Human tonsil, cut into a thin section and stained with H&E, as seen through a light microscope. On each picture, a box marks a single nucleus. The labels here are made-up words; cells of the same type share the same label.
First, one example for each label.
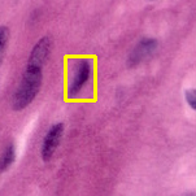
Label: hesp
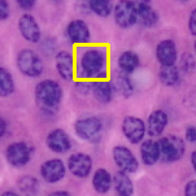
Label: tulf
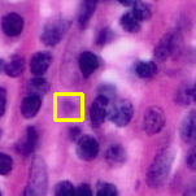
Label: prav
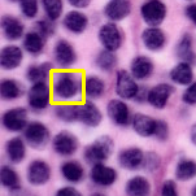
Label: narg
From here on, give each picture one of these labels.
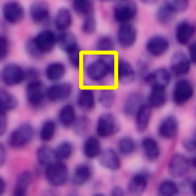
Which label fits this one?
narg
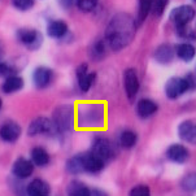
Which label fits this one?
prav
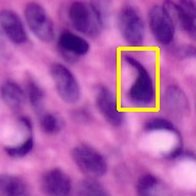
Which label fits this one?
hesp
